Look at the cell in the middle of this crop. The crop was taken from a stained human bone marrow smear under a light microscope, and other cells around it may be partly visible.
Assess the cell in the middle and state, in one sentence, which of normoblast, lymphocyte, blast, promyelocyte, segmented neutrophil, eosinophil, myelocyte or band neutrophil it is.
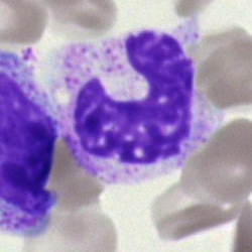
In the middle of this smear crop, the cell is a band neutrophil.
